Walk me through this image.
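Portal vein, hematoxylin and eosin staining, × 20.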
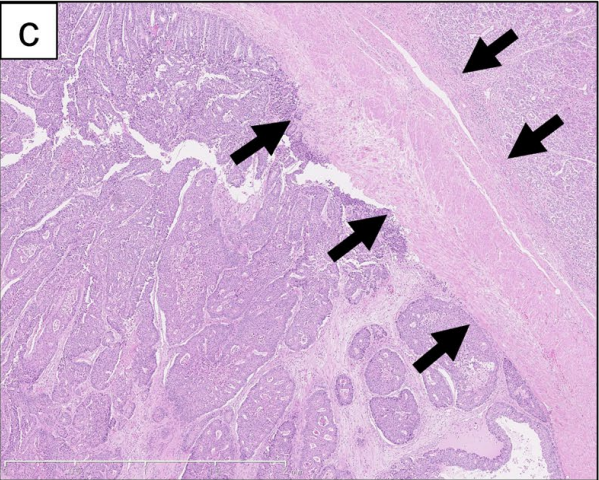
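On the left, a large mass of crowded malignant glands, purple with many nuclei, fills the vessel's lumen. Beyond the wall, to the right, lies other tissue outside the vessel. Note how the tumour glands press up against the inner side of the wall, with clefts separating parts of the mass.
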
